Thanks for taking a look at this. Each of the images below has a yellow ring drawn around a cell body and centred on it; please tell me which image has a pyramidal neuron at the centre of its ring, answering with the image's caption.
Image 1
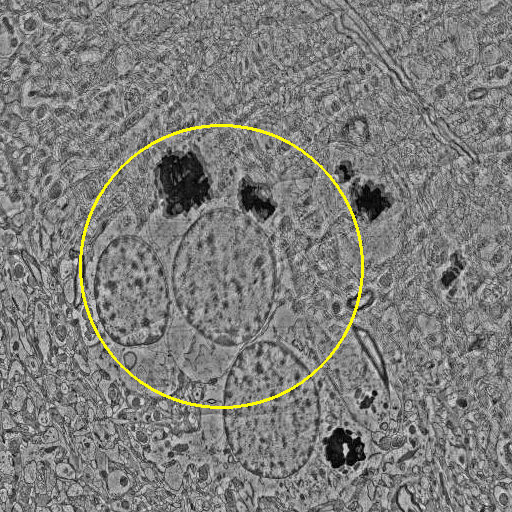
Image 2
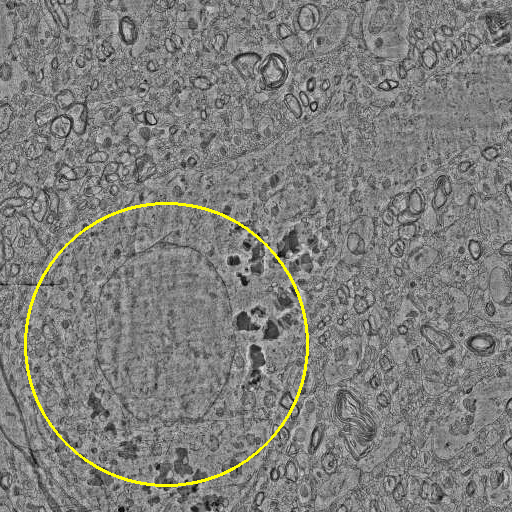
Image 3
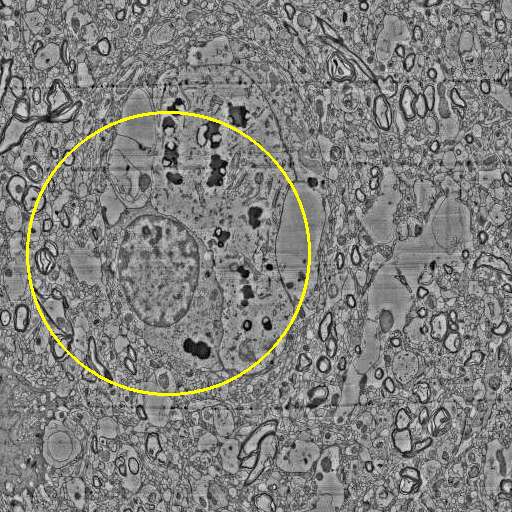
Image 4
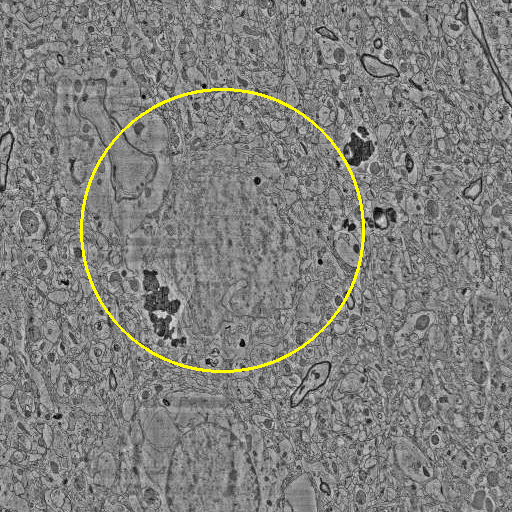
Image 2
